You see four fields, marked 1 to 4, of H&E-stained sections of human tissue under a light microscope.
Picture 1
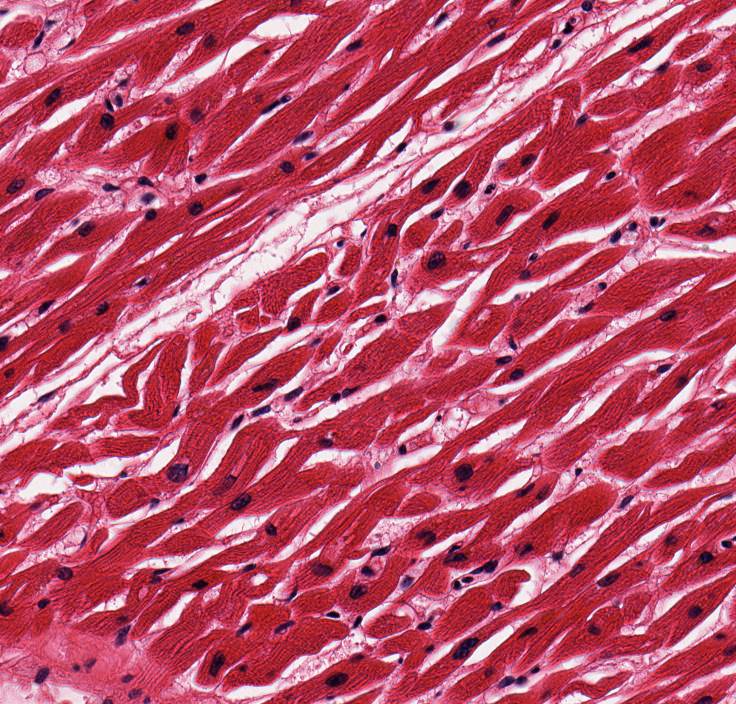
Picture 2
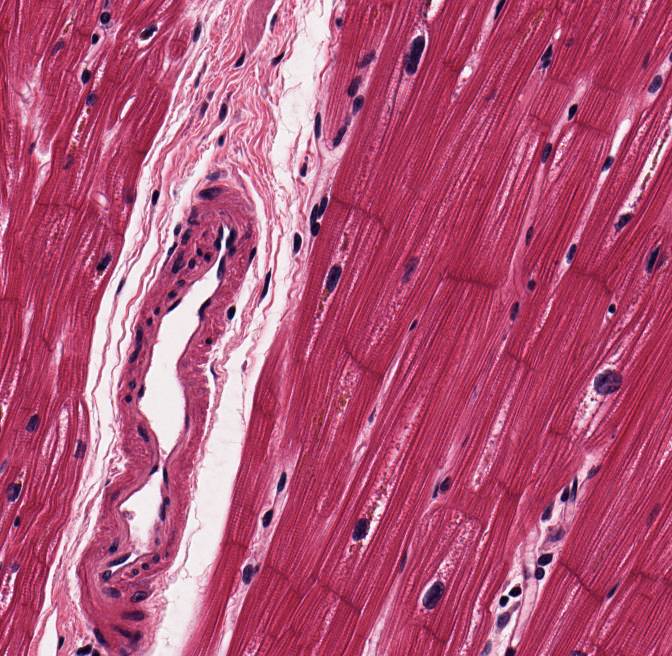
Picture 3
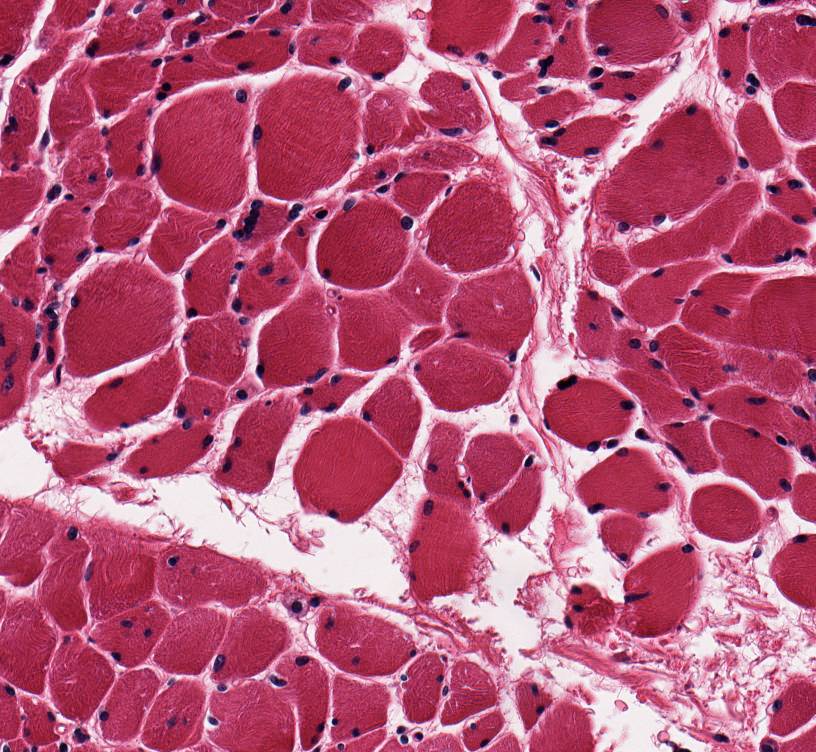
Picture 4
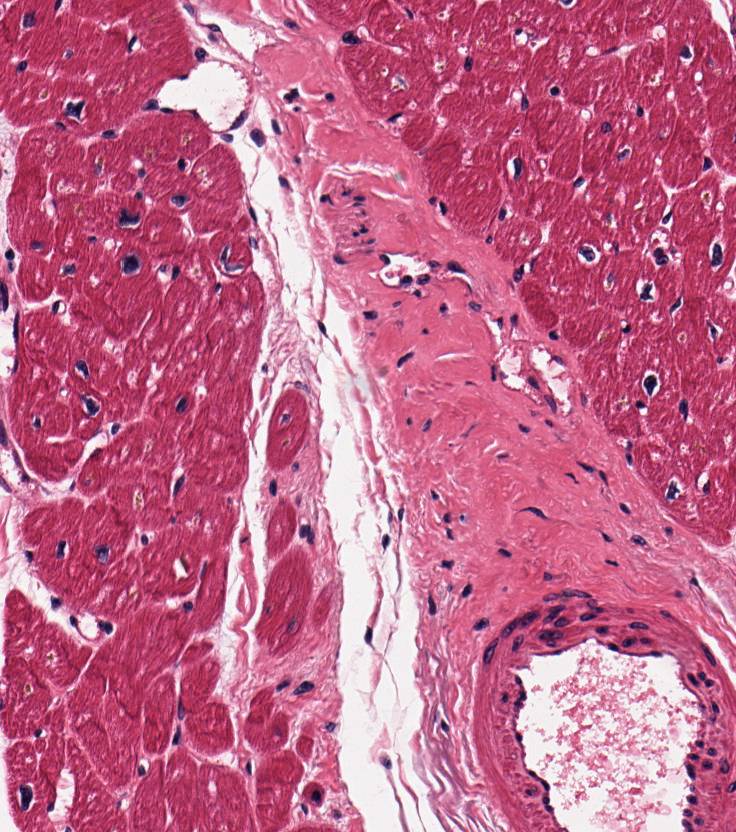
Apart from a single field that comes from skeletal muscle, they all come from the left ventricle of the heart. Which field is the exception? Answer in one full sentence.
The one that comes from skeletal muscle is picture 3.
